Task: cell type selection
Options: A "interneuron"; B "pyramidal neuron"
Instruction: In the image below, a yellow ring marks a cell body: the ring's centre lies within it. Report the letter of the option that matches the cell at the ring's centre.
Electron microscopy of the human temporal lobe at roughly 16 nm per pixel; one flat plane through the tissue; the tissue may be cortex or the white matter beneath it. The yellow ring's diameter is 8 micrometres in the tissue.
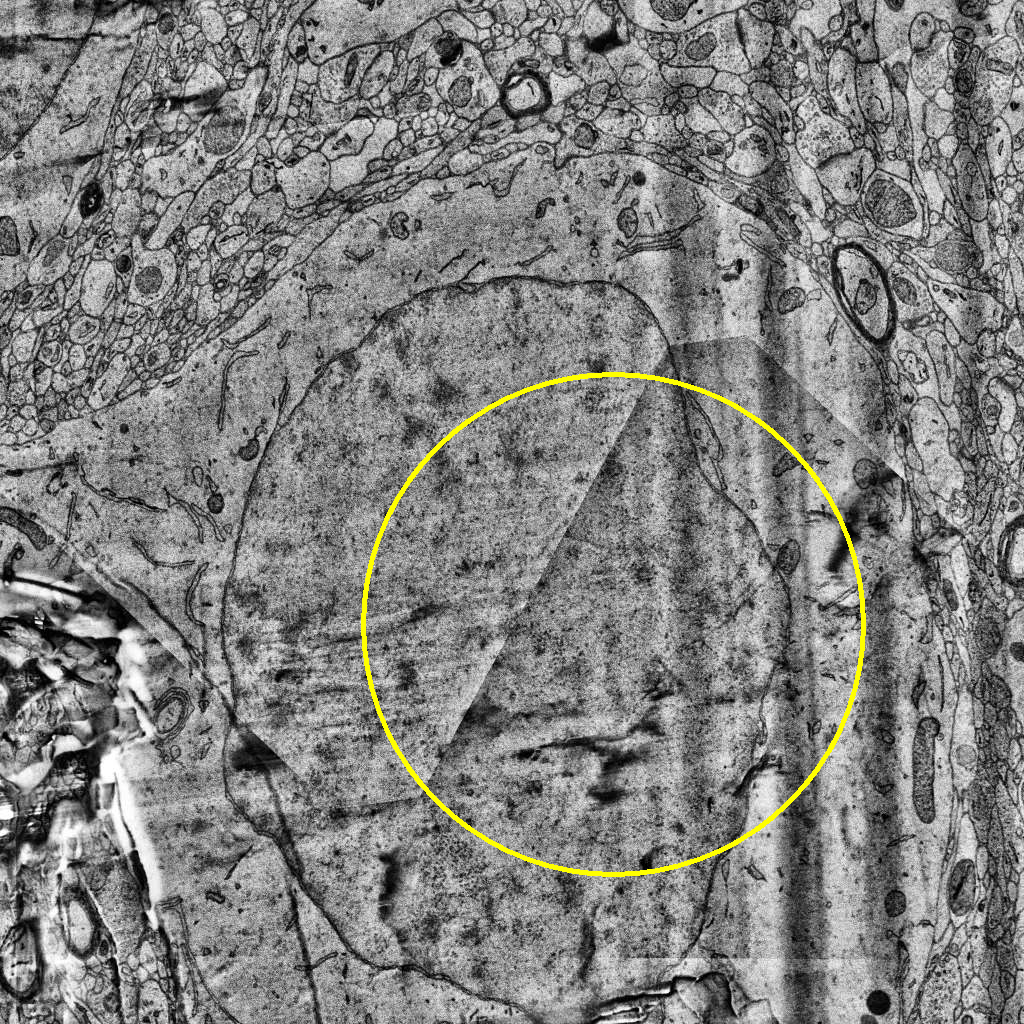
B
